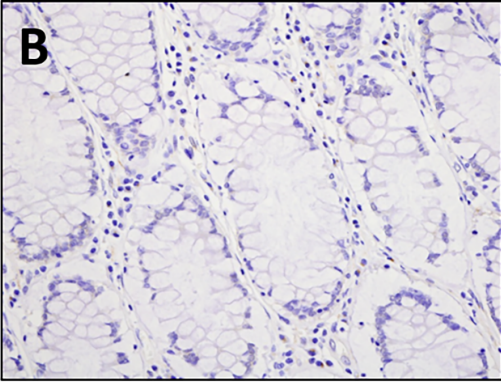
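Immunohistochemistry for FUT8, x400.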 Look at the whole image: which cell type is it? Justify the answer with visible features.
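Crypts cut across, lined by cells full of pale mucin goblets. Small, regular basal nuclei in a single layer. No brown stain in the epithelium.
Non-neoplastic colon mucosal cells.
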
